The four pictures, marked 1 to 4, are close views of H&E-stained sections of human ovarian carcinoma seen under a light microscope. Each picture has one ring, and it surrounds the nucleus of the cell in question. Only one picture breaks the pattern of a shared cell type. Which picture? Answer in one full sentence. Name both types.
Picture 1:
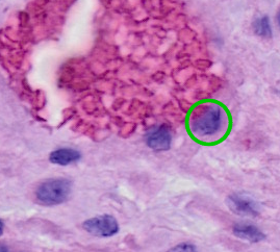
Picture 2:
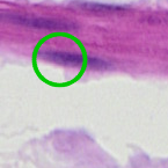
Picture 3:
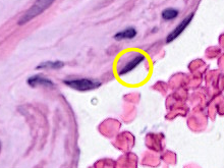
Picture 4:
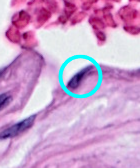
Unlike the rest, which show endothelial cells, picture 2 shows a smooth muscle cell.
